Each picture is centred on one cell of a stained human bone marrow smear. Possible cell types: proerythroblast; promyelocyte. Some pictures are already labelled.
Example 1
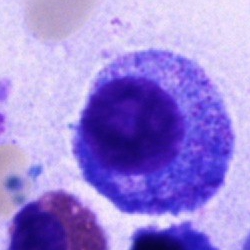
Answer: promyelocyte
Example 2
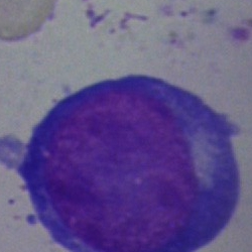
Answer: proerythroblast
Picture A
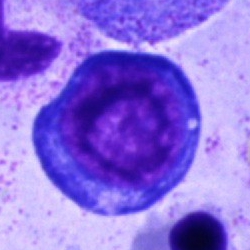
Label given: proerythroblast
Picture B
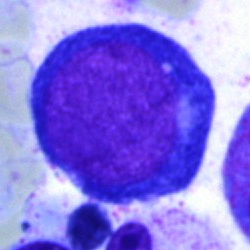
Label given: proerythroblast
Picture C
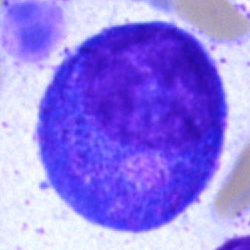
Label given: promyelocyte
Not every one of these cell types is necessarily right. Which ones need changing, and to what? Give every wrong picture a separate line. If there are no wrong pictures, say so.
All labels are correct.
